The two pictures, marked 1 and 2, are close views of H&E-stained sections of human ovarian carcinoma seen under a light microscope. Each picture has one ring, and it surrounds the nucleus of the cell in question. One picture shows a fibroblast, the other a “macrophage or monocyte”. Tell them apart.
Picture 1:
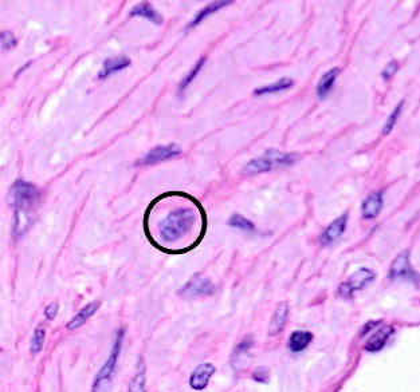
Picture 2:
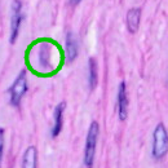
1: macrophage or monocyte
2: fibroblast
